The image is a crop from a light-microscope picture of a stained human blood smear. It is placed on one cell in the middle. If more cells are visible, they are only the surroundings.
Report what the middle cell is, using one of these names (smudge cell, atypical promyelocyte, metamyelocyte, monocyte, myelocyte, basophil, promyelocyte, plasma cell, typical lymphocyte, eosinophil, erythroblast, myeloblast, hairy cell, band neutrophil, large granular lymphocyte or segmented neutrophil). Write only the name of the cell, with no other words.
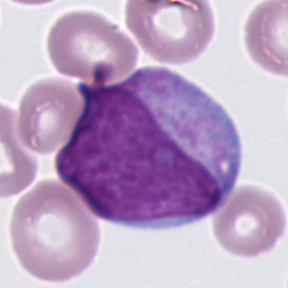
atypical promyelocyte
